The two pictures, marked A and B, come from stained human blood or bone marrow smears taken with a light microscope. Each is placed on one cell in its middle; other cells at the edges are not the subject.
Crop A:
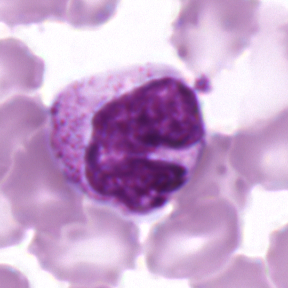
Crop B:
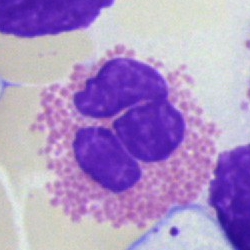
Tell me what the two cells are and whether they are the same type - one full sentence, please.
No, crop A should be called a band neutrophil, and crop B should be called an eosinophil.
